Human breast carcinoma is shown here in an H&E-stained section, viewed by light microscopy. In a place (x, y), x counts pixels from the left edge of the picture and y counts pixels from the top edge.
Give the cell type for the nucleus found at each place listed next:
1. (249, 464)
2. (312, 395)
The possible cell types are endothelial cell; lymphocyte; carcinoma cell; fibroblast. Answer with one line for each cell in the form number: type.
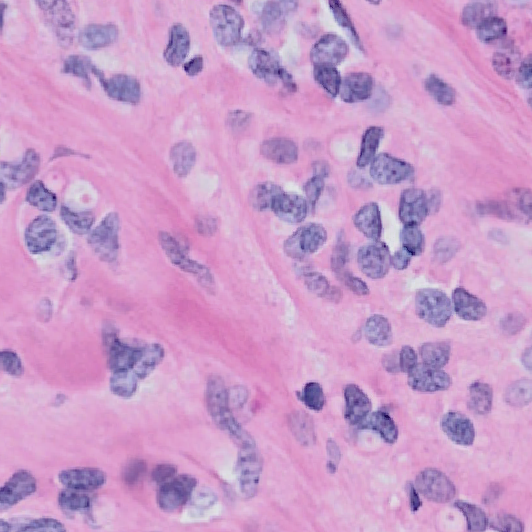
1: endothelial cell
2: lymphocyte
